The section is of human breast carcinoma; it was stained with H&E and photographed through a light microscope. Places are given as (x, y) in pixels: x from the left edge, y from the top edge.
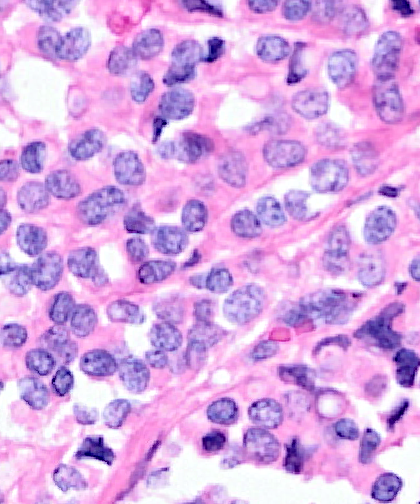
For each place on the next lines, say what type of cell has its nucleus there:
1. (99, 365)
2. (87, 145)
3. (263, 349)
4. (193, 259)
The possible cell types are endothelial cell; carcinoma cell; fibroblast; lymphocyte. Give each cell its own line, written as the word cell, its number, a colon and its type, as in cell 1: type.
cell 1: carcinoma cell
cell 2: carcinoma cell
cell 3: endothelial cell
cell 4: carcinoma cell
